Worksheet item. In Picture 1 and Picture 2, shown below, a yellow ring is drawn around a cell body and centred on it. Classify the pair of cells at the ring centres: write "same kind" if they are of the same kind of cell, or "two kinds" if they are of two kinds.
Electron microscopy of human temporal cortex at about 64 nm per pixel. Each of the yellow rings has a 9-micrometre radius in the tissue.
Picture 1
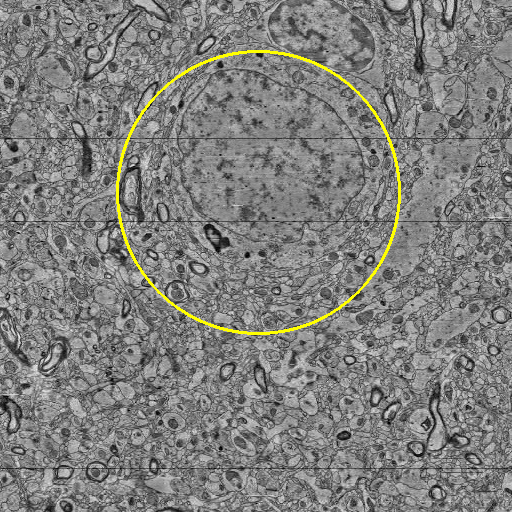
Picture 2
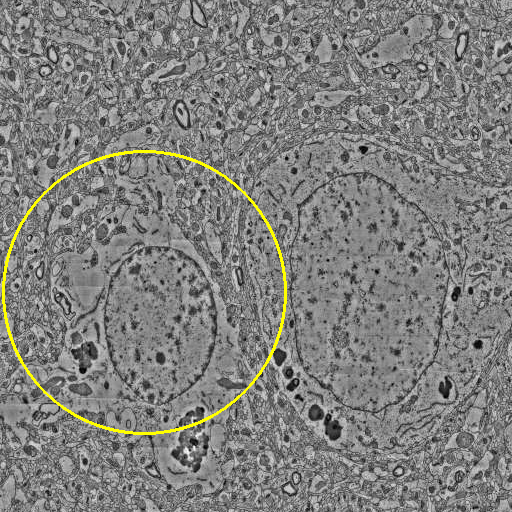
two kinds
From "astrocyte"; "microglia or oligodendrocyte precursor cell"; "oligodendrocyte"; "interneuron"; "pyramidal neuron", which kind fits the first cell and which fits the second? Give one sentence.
The cell marked in the first picture is a pyramidal neuron, and the one marked in the second is an astrocyte.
